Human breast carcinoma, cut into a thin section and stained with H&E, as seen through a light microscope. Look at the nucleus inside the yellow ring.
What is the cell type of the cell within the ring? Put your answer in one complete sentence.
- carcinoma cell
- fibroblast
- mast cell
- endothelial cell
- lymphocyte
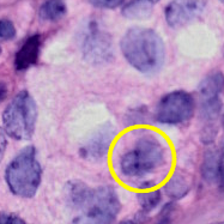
As to its cell type, the cell within the ring is a carcinoma cell.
